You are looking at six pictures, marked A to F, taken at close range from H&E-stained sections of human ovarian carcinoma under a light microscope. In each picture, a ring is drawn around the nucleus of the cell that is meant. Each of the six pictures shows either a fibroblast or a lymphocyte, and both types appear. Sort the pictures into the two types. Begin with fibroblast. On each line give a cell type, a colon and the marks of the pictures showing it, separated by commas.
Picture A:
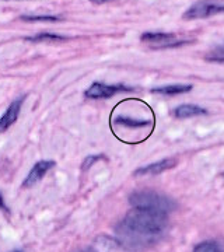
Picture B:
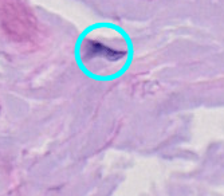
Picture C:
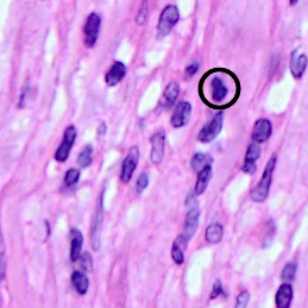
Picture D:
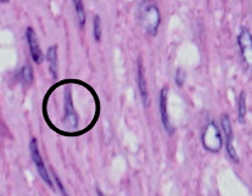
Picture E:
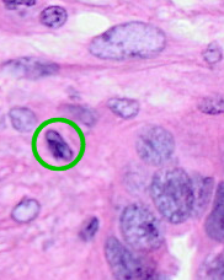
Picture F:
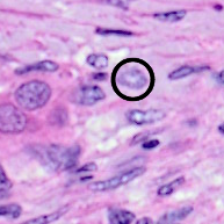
fibroblast: A, B, D, F
lymphocyte: C, E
